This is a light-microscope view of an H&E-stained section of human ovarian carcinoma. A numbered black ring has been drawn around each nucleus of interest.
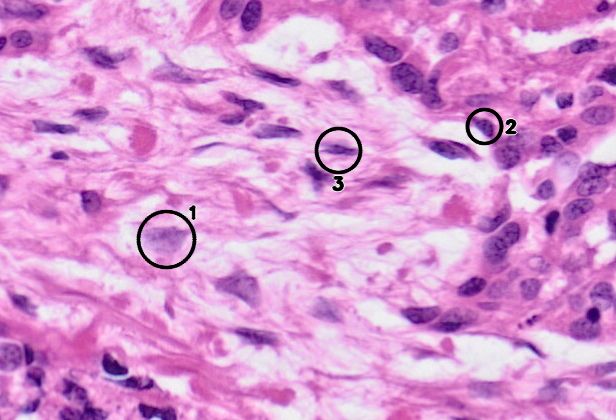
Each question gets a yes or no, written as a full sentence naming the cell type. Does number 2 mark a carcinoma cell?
Yes, the cell at the mark numbered 2 is a carcinoma cell.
